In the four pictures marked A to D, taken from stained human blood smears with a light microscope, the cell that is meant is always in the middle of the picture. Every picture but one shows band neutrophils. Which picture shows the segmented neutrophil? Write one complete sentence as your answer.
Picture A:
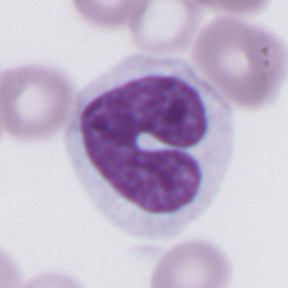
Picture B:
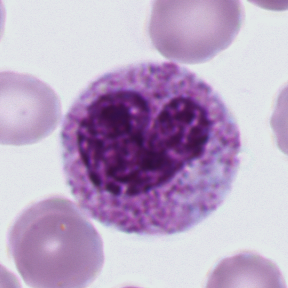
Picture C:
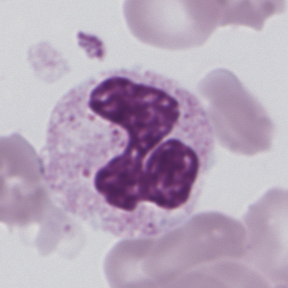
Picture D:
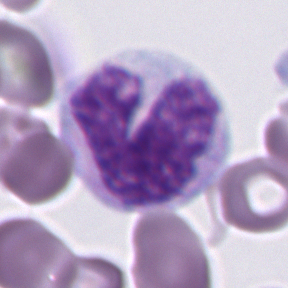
The picture with the segmented neutrophil is C.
